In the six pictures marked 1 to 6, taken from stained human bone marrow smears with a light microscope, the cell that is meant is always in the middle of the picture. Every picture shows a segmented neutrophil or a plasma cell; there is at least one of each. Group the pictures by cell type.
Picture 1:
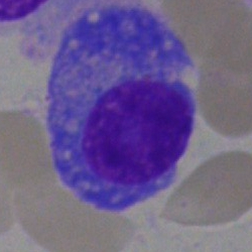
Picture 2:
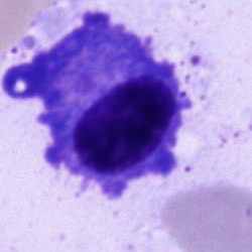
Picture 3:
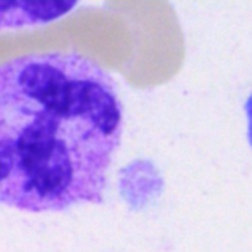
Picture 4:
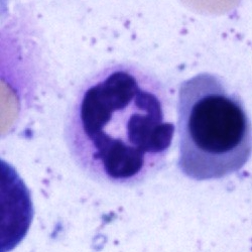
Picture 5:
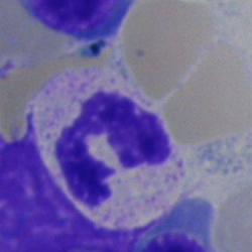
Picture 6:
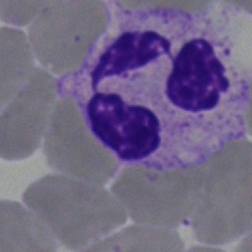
1: plasma cell
2: plasma cell
3: segmented neutrophil
4: segmented neutrophil
5: segmented neutrophil
6: segmented neutrophil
